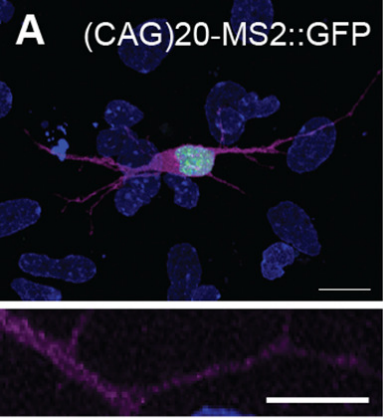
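Single cultured neuron, filled in magenta, among unlabelled cells with large oval blue nuclei. Its cell body is compact and its nucleus shows bright green. Thin processes extend from both poles of the cell body and branch toward the edges of the field. Little or no green is seen within the processes; the enlarged lower strip shows a thin magenta process of fairly even calibre without distinct green dots.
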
